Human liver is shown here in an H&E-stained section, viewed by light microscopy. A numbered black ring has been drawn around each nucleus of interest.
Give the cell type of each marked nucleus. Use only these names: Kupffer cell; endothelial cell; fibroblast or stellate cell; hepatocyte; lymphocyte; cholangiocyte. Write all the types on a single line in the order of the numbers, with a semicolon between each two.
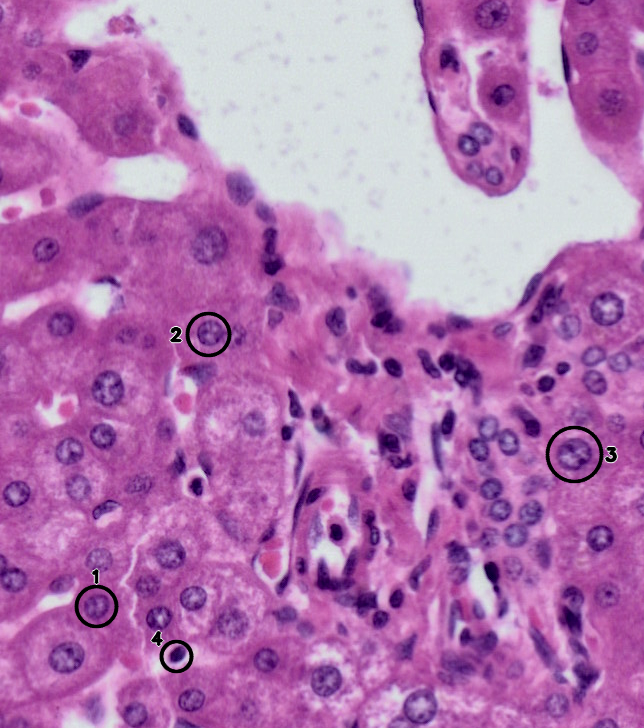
hepatocyte; hepatocyte; hepatocyte; lymphocyte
